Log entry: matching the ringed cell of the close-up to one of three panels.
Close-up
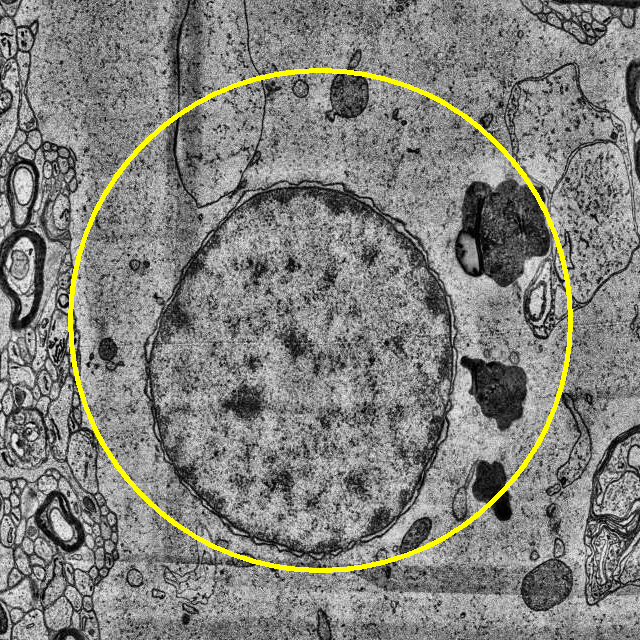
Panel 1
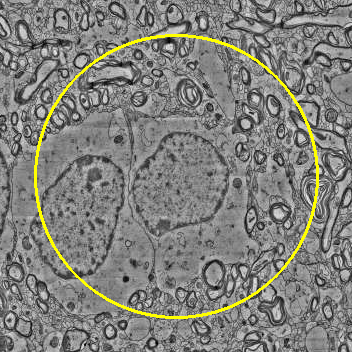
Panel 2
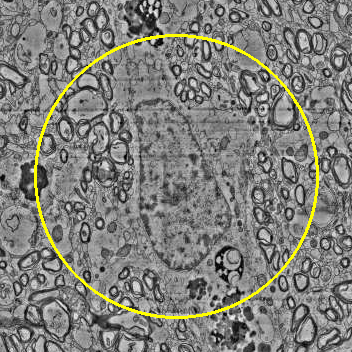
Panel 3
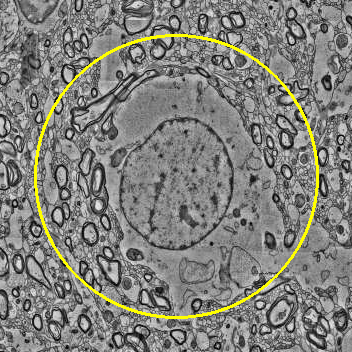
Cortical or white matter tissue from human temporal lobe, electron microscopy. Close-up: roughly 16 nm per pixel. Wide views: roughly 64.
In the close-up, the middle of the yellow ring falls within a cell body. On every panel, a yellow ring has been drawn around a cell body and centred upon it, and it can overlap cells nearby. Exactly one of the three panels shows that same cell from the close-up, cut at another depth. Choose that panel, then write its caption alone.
Panel 3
